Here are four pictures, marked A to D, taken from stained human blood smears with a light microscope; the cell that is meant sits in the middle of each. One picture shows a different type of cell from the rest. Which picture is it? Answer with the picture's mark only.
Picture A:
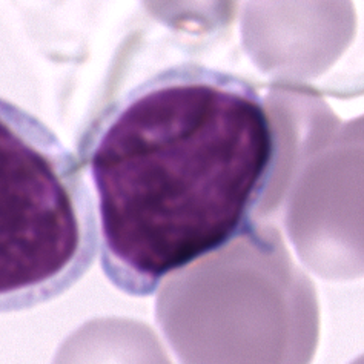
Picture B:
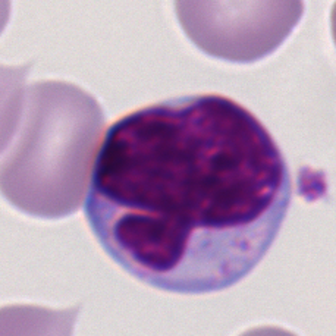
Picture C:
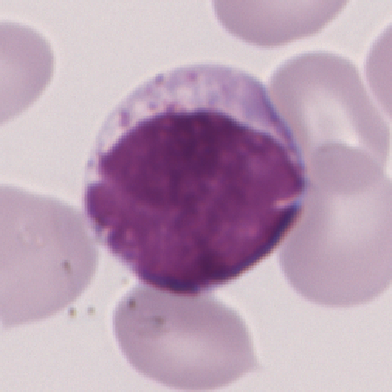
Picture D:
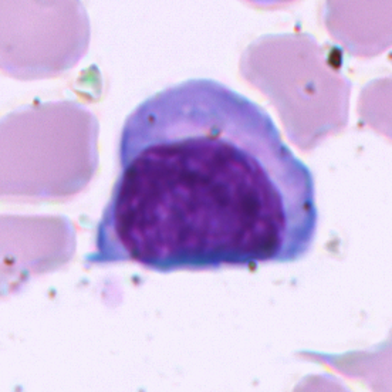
D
